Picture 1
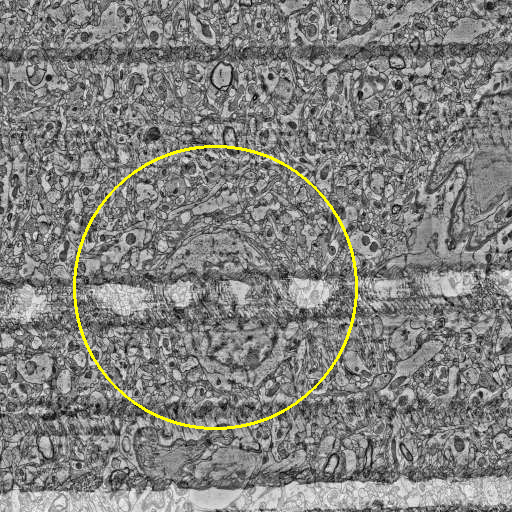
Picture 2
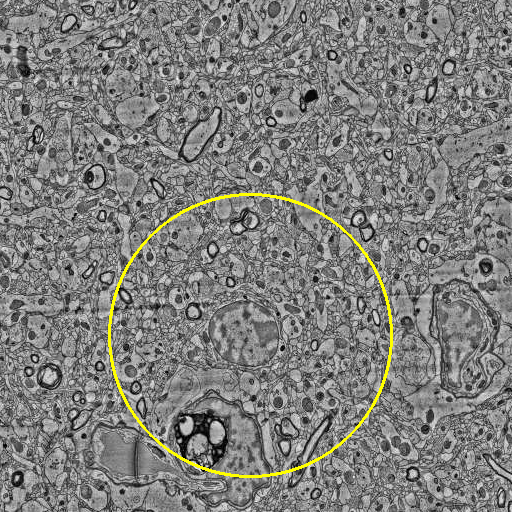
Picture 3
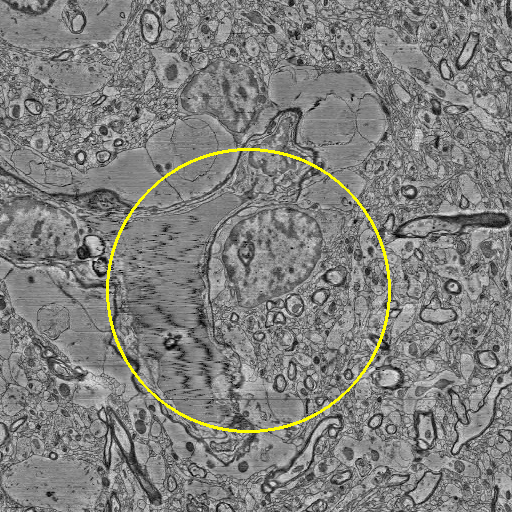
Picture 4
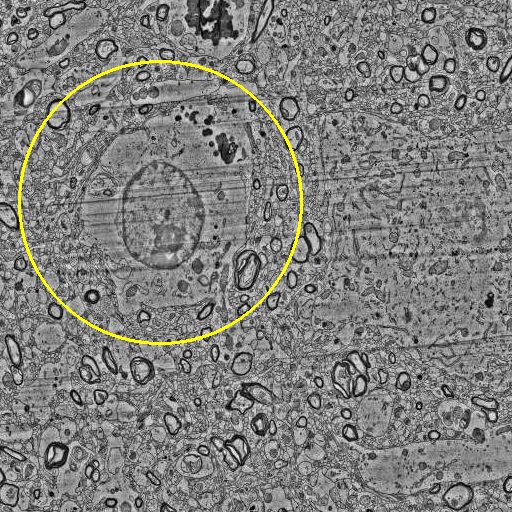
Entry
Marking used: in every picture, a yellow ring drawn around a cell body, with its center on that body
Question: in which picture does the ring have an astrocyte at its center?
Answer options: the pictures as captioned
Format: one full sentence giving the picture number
Picture 4 is where the ring's center falls on the requested cell.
